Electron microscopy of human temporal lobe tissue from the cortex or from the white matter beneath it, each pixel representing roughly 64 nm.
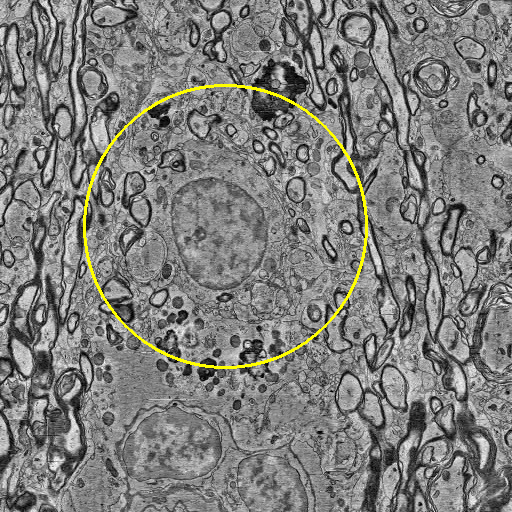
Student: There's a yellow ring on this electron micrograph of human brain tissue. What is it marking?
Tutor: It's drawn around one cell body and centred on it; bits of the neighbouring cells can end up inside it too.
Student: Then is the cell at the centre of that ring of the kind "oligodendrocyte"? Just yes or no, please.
yes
